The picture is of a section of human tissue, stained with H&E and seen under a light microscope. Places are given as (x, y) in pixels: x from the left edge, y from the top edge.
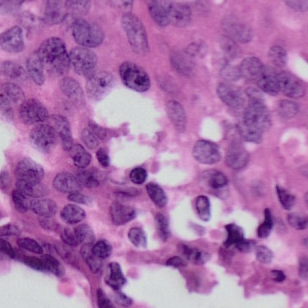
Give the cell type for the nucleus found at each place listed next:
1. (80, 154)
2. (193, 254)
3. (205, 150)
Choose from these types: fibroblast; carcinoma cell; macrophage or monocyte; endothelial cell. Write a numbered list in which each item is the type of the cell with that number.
1. carcinoma cell
2. macrophage or monocyte
3. carcinoma cell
